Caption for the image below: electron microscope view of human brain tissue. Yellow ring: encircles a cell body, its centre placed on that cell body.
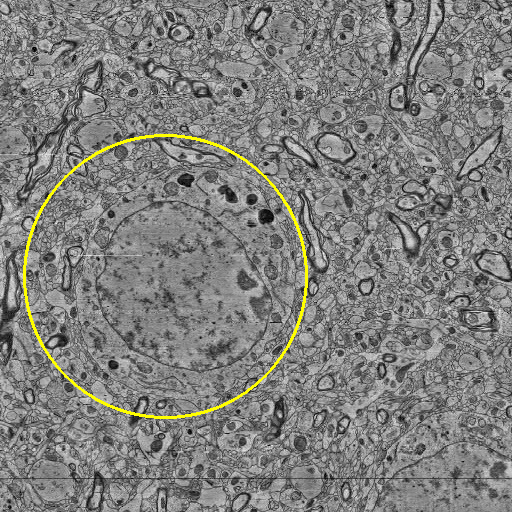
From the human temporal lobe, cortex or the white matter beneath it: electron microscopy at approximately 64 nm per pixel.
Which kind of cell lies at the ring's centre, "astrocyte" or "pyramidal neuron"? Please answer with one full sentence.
The picture shows a pyramidal neuron at the centre of the yellow ring.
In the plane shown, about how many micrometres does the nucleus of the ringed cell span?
The ringed cell's nucleus is about 12 micrometres long and 10 micrometres wide in this plane.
